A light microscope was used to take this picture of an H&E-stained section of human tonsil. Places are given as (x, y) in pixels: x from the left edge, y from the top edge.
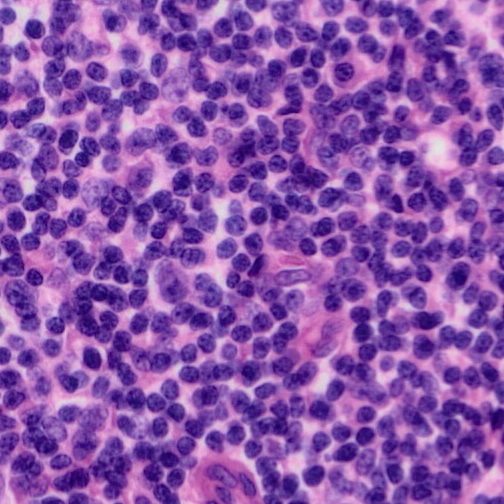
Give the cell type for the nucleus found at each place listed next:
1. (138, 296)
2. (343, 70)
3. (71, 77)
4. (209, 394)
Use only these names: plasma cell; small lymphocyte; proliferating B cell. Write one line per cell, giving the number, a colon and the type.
1: small lymphocyte
2: plasma cell
3: small lymphocyte
4: small lymphocyte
